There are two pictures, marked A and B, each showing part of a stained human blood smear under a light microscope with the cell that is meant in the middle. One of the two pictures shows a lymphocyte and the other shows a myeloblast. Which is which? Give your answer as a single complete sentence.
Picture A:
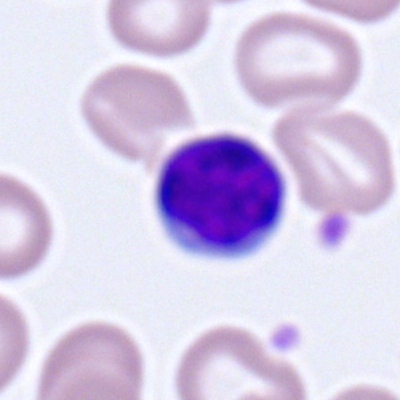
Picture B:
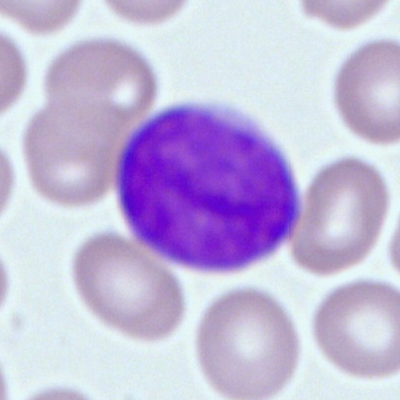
Picture B shows a myeloblast, while picture A shows a lymphocyte.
